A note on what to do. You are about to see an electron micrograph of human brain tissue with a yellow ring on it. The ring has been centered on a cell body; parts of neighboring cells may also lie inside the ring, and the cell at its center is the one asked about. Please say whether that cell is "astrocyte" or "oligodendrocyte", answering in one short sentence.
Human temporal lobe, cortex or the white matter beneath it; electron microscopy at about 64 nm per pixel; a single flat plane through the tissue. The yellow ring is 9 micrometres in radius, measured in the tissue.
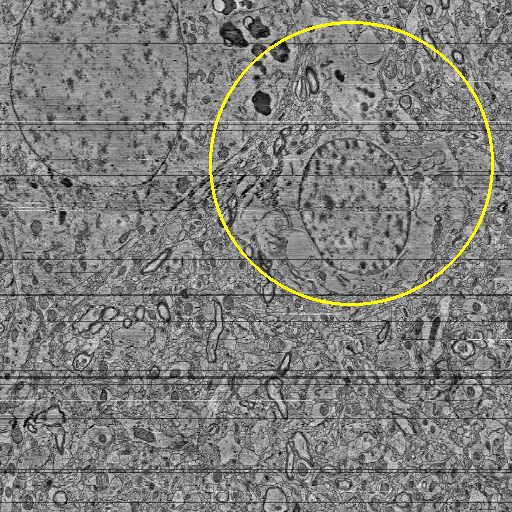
The yellow ring sits on an astrocyte.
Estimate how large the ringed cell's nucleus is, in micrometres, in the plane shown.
In this plane the nucleus measures roughly 9 by 7 micrometers.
